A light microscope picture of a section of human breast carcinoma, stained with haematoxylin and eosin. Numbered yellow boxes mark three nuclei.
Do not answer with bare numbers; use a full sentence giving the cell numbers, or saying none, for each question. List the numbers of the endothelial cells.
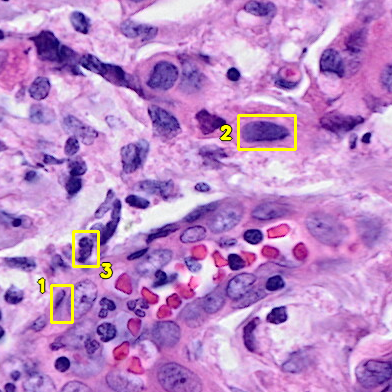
The cell bearing the number 1 is an endothelial cell, unlike the rest of the numbered cells.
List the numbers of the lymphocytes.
Cell 3 is a lymphocyte, which is true of none of the other numbered cells.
